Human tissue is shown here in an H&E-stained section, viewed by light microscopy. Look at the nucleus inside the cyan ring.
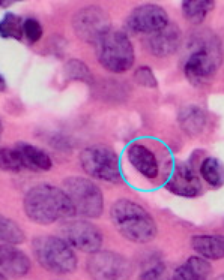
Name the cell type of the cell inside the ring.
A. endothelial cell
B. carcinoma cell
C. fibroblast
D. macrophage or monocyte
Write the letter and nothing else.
D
